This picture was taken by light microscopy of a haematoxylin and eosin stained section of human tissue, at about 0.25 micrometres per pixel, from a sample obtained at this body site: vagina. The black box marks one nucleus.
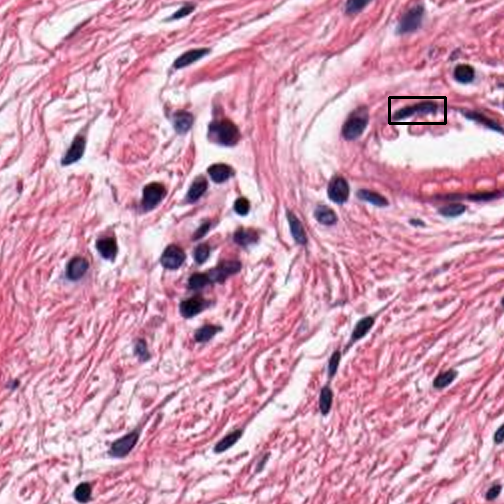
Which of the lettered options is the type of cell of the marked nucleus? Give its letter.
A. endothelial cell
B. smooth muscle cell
A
